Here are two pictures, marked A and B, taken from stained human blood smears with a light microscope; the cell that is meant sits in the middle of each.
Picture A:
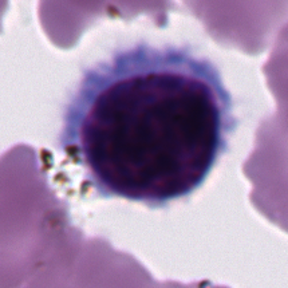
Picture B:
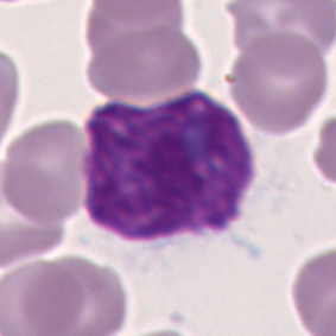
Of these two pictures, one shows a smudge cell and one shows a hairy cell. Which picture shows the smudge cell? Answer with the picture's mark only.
B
